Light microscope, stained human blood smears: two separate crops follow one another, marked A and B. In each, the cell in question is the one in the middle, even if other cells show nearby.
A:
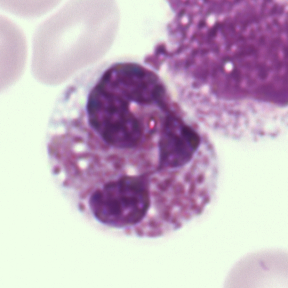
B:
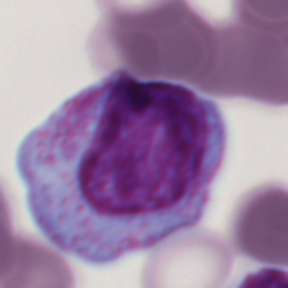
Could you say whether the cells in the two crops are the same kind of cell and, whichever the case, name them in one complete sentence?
No, look again: crop A shows an eosinophil, and crop B shows a myelocyte.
